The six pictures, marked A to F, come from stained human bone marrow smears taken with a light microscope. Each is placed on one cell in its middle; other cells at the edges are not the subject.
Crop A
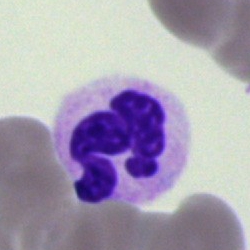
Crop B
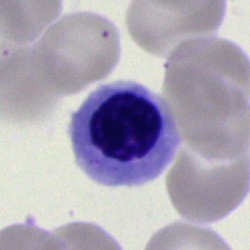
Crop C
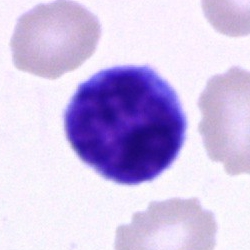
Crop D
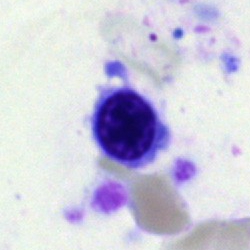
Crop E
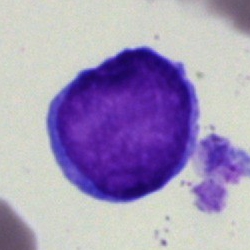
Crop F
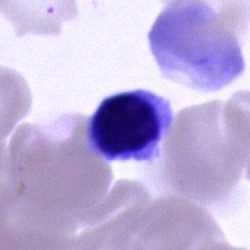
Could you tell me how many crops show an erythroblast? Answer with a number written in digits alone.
3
